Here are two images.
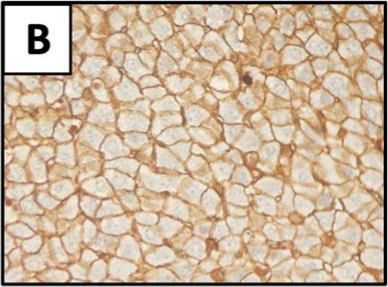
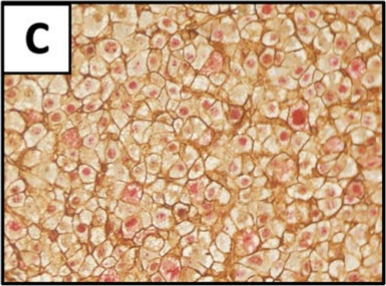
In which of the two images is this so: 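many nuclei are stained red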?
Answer: the second image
